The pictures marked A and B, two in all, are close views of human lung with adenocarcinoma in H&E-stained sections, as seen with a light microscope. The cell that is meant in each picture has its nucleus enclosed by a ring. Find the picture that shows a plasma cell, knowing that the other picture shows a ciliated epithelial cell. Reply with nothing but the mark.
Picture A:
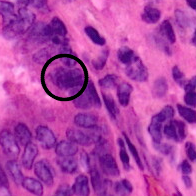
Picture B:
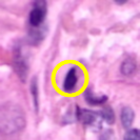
B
